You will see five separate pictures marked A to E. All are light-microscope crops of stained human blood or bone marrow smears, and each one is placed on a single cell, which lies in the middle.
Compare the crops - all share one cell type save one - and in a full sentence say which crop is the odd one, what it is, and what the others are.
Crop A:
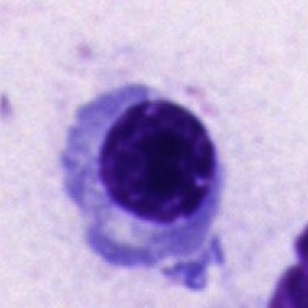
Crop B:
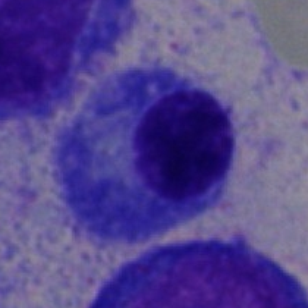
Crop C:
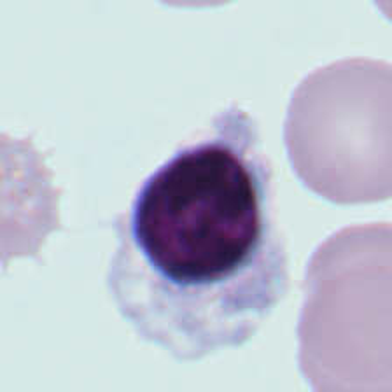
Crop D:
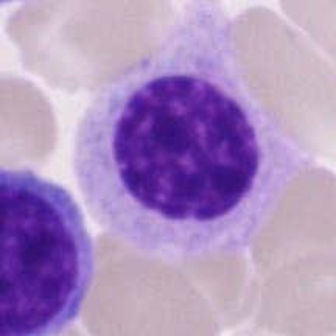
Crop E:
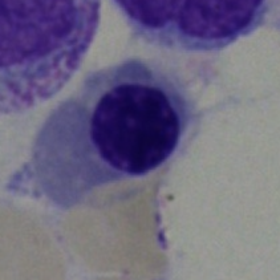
Crop B is the exception here: it is a plasma cell, and the others are erythroblasts.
